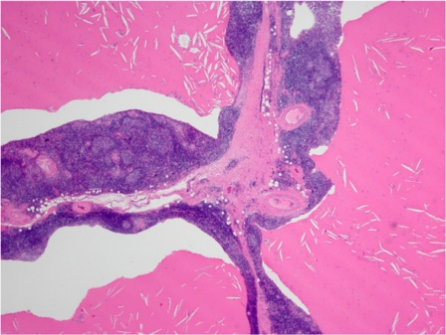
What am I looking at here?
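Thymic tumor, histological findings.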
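This low-power view shows thin, branching cyst walls made mostly of lymphoid tissue. The walls are densely crowded with small dark purple nuclei, with a pale pink fibrous core that contains a few small vessels. The cyst spaces on either side are filled with homogeneous pink, cell-free material. Within this material lie many needle-shaped empty slits, which are cholesterol clefts.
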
